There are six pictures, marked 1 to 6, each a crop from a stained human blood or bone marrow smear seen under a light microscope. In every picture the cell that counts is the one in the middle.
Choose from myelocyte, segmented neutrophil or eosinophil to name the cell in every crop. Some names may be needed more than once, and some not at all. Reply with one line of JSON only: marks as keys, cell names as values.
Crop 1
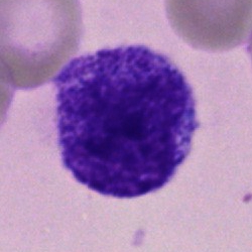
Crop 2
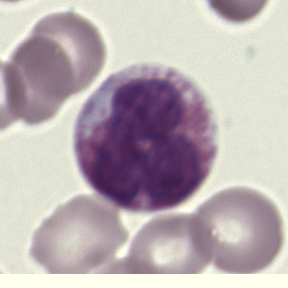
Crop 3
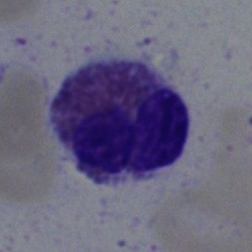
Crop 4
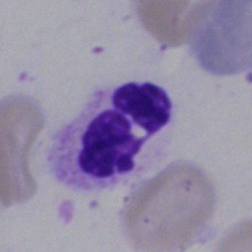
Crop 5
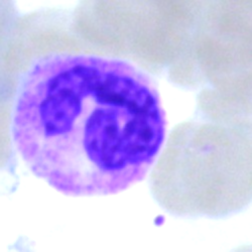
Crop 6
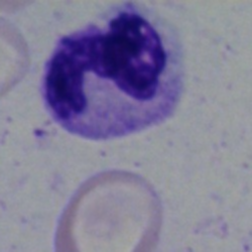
{"1": "myelocyte", "2": "eosinophil", "3": "eosinophil", "4": "segmented neutrophil", "5": "segmented neutrophil", "6": "segmented neutrophil"}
